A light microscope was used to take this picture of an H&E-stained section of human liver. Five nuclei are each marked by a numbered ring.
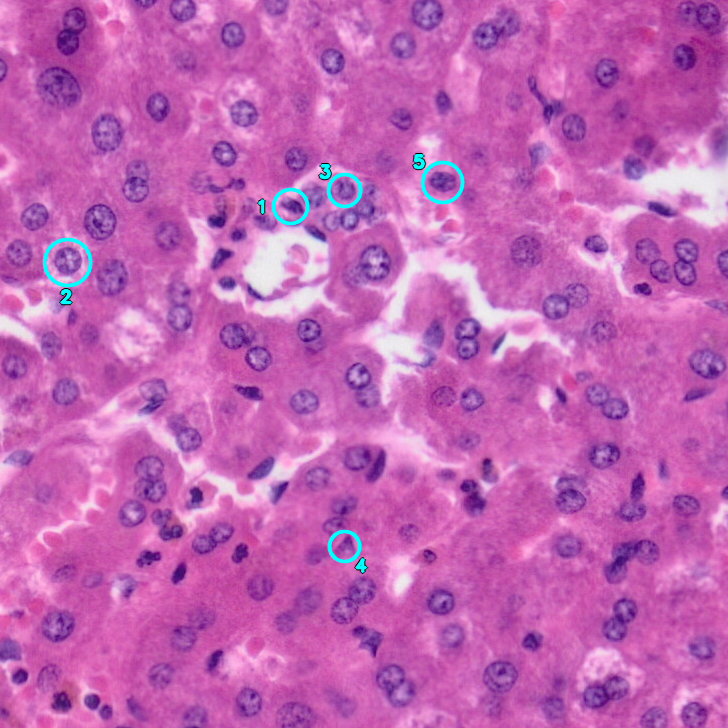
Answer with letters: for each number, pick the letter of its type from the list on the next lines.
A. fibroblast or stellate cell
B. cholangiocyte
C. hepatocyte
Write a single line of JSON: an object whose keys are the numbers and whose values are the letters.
{"1": "A", "2": "C", "3": "B", "4": "A", "5": "A"}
